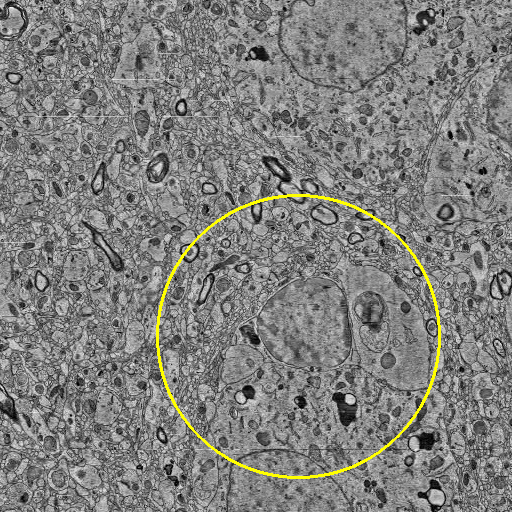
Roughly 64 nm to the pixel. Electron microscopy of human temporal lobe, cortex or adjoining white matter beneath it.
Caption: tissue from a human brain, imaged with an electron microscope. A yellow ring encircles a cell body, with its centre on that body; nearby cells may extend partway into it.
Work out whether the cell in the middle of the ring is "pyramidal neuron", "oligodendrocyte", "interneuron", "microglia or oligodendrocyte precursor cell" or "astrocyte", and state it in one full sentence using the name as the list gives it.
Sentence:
In the picture, the cell that the yellow ring surrounds at its centre is a microglial cell or oligodendrocyte precursor cell.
